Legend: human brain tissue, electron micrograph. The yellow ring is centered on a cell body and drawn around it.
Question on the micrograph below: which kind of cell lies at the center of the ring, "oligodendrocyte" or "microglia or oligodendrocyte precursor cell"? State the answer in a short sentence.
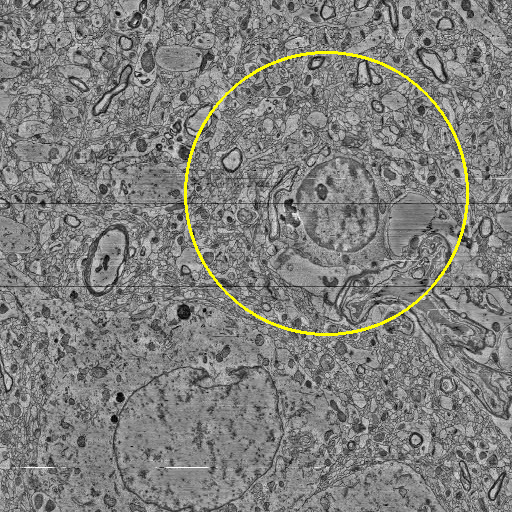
At the center of the ring lies an oligodendrocyte.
